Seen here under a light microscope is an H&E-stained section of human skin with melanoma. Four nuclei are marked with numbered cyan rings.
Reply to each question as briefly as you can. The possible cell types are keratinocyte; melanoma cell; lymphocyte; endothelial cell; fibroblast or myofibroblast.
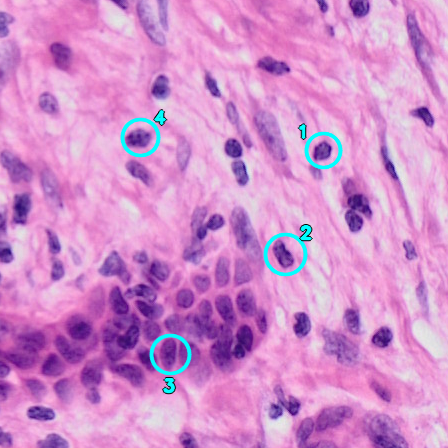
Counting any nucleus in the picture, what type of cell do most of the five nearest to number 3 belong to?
keratinocyte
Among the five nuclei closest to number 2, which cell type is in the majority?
fibroblast or myofibroblast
